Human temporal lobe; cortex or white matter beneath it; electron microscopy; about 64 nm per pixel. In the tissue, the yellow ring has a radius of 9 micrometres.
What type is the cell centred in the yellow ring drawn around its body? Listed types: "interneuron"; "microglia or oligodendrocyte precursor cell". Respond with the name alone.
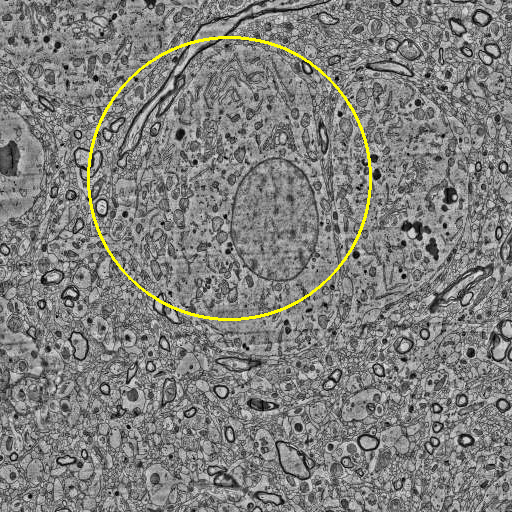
interneuron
